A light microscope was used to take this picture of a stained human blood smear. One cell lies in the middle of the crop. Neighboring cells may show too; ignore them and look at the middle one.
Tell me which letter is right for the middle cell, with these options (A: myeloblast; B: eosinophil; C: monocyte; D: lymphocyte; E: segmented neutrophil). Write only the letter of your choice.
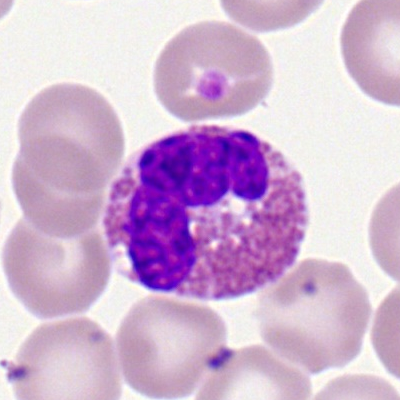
B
